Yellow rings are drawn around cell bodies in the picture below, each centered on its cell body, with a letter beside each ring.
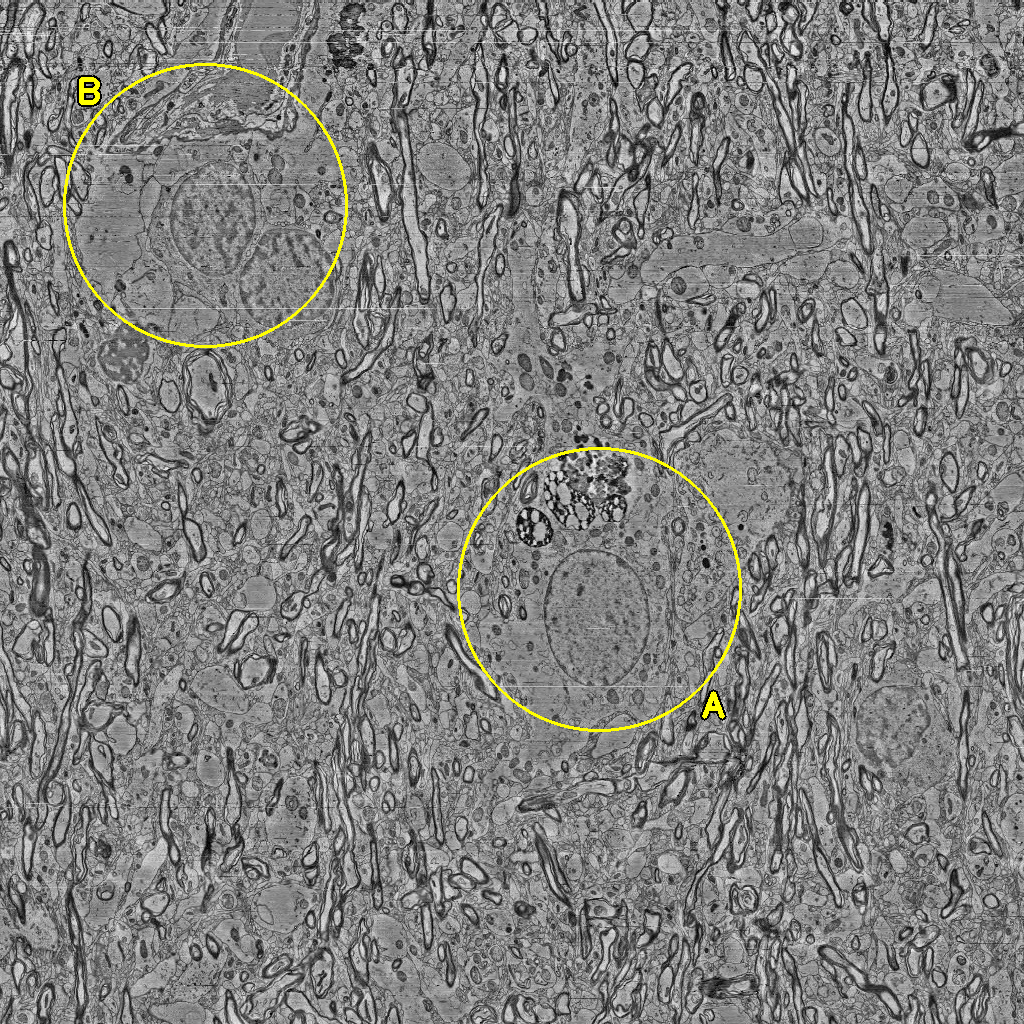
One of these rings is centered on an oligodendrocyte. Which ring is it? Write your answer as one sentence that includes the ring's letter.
It is ring B.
